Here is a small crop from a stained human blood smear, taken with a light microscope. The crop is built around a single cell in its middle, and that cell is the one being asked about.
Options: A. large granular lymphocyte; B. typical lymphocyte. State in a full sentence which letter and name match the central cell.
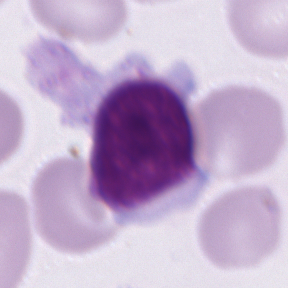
The cell shown centrally is a large granular lymphocyte; option A is the correct option.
